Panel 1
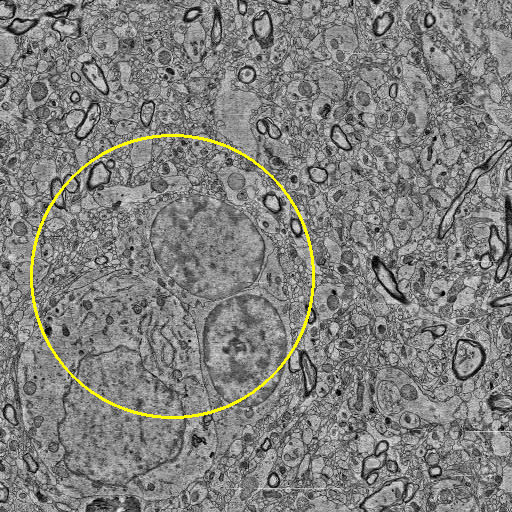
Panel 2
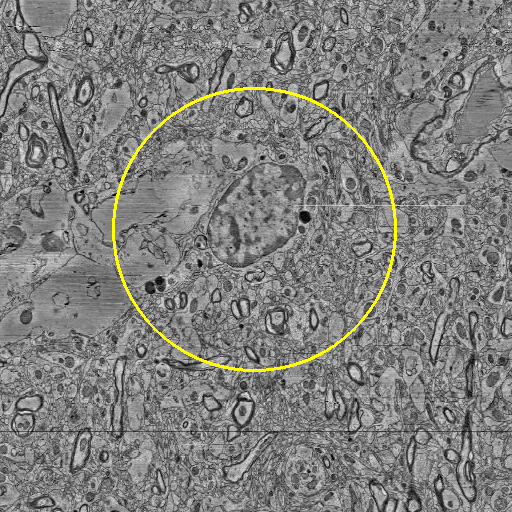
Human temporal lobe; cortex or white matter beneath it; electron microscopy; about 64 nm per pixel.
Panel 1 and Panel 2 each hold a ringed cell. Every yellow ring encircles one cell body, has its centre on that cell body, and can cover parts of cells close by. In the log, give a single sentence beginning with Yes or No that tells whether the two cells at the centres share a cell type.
No, in Panel 1 and Panel 2 the centred cells are of two cell types.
